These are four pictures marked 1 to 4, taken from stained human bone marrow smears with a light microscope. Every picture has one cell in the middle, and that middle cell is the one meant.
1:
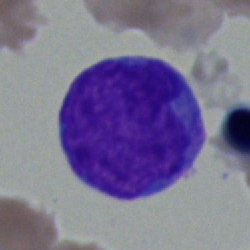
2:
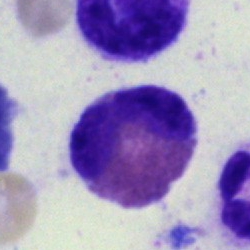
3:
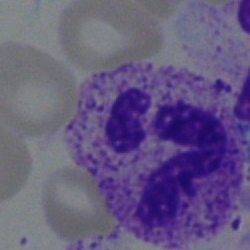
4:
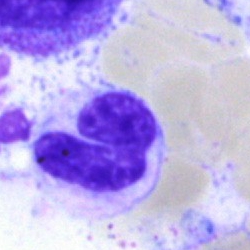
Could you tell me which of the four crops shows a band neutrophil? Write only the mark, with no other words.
4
